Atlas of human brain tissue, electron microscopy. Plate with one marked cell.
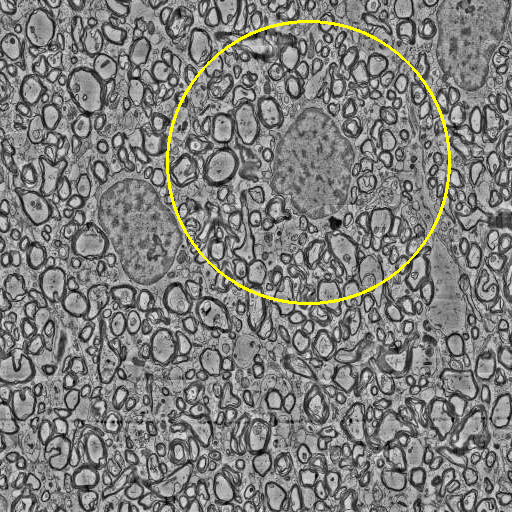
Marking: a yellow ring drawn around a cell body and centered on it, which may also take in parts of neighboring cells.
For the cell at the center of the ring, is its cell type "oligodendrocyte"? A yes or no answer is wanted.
Yes, that is its cell type.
